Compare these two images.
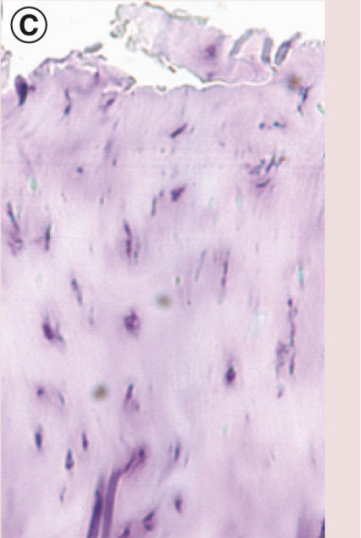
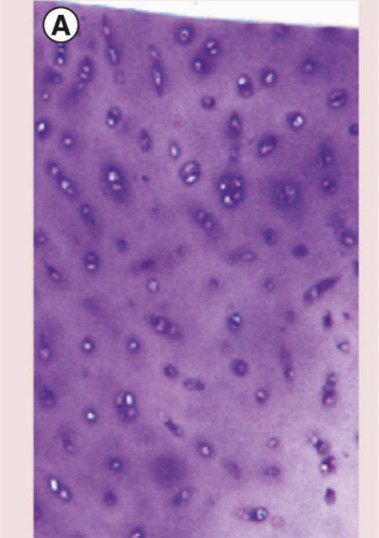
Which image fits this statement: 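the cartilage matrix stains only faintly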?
The first image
